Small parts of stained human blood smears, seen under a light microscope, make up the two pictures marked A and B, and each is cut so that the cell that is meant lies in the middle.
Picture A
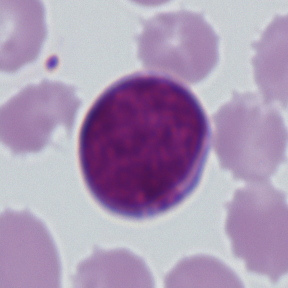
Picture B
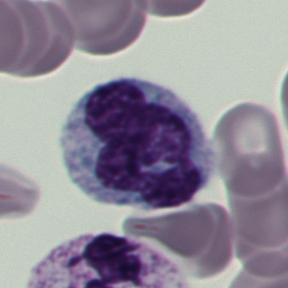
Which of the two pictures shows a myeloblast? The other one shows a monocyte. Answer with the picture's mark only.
A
